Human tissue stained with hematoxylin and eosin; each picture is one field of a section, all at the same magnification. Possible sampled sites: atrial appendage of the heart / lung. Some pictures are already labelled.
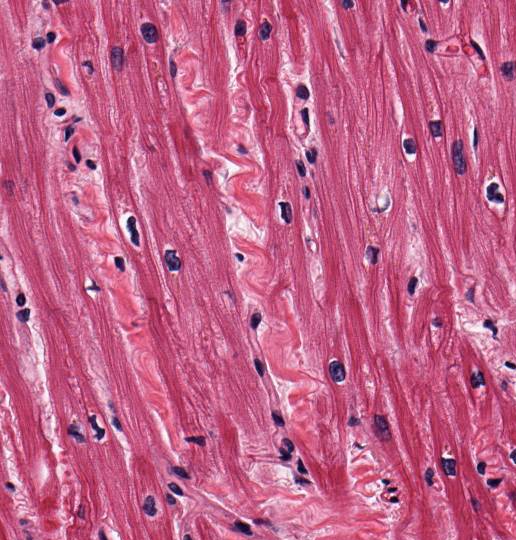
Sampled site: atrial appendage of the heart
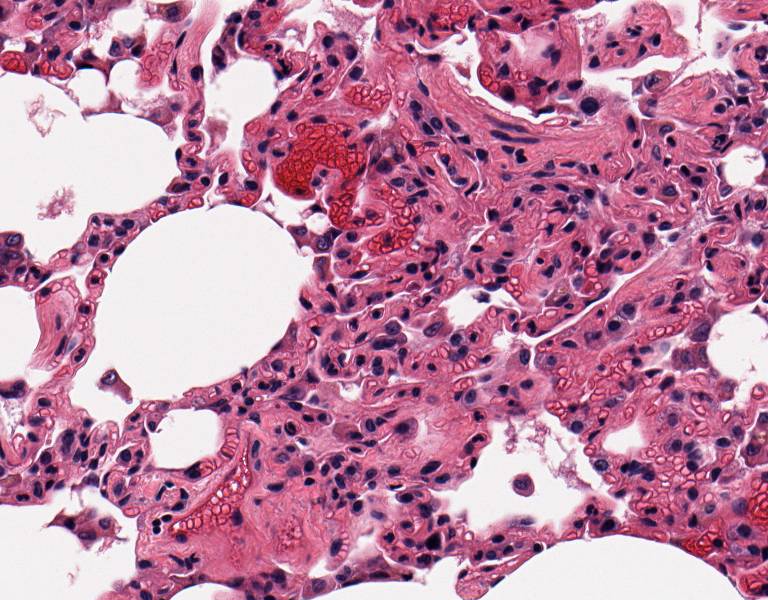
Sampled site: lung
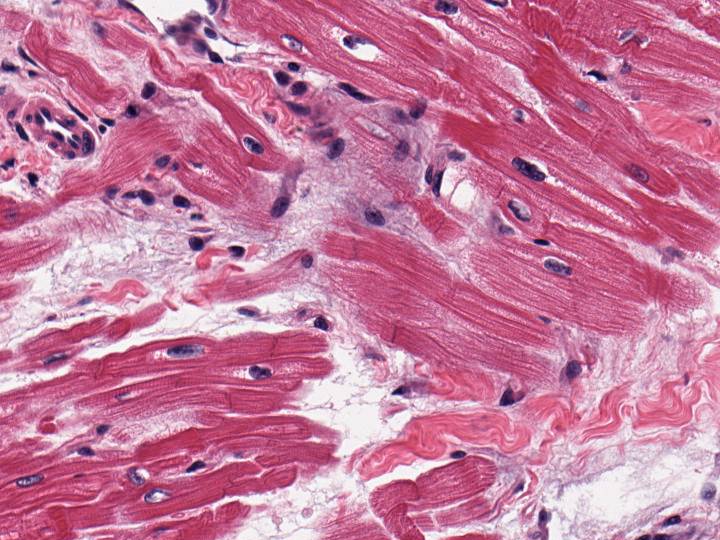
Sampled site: atrial appendage of the heart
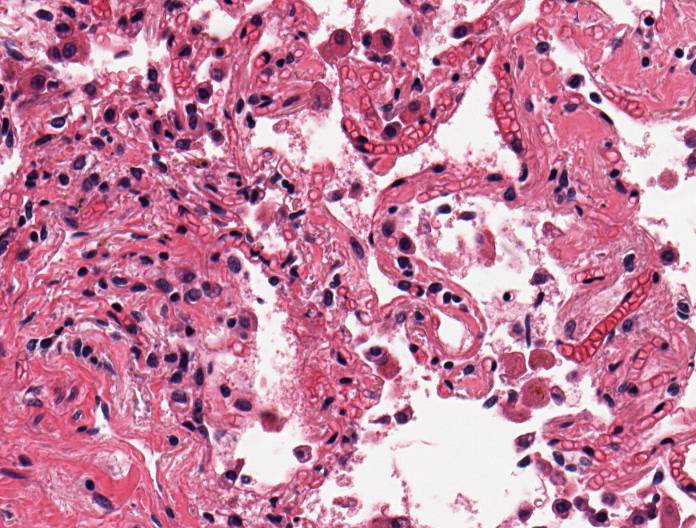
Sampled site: lung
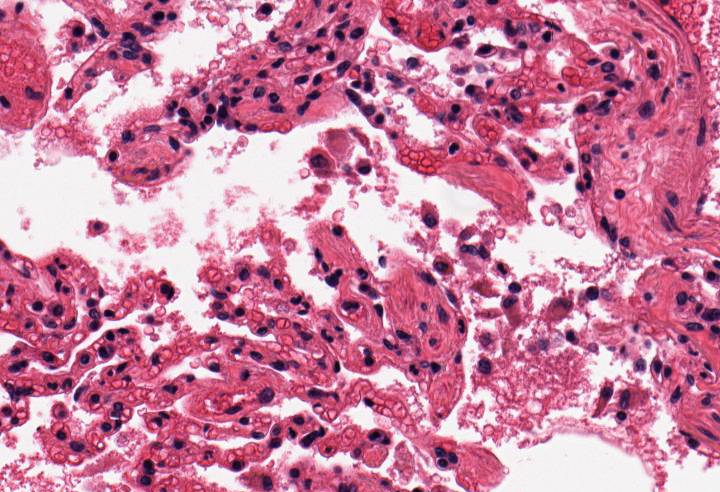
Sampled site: lung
